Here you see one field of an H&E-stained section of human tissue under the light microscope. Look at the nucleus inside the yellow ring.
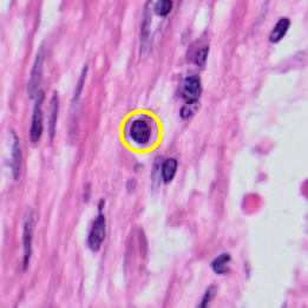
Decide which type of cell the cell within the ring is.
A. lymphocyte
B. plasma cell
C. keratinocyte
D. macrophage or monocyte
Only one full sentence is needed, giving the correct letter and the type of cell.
According to option B, the cell within the ring is a plasma cell, and this is correct.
